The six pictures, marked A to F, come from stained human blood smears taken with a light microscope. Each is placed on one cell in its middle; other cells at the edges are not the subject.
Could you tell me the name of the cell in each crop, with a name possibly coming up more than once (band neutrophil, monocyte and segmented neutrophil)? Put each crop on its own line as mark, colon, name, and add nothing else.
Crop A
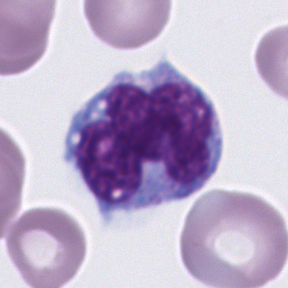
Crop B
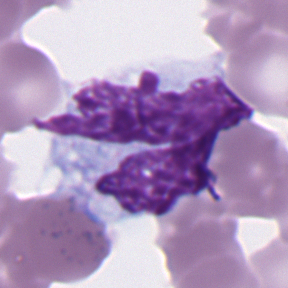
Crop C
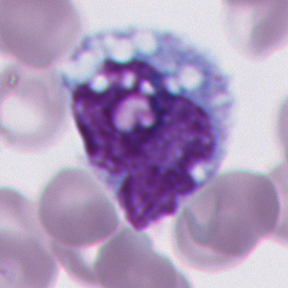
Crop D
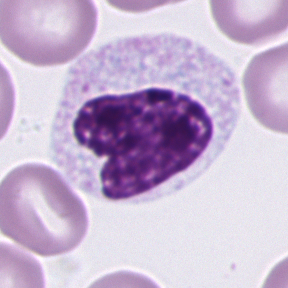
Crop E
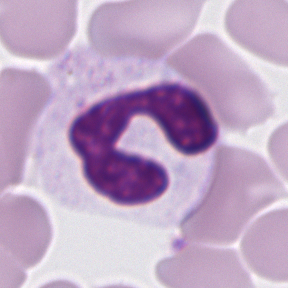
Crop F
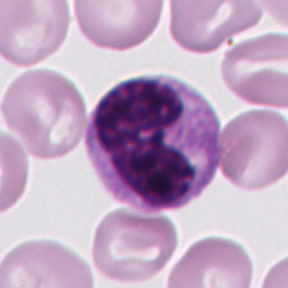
A: monocyte
B: monocyte
C: monocyte
D: band neutrophil
E: segmented neutrophil
F: band neutrophil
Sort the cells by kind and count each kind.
monocyte: 3
band neutrophil: 2
segmented neutrophil: 1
